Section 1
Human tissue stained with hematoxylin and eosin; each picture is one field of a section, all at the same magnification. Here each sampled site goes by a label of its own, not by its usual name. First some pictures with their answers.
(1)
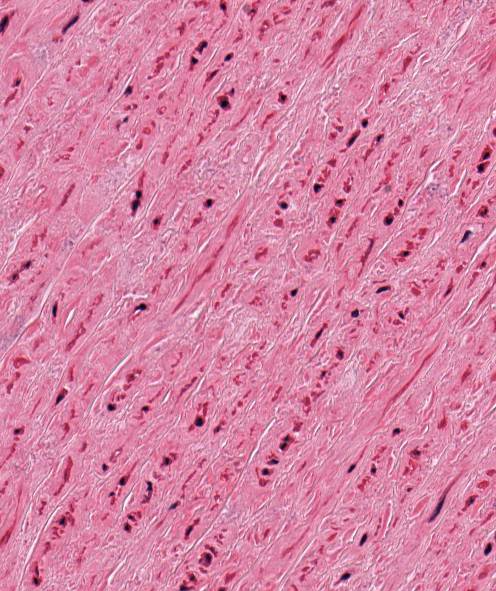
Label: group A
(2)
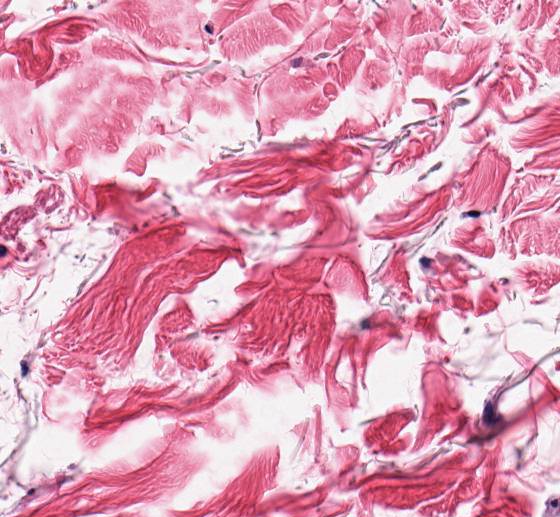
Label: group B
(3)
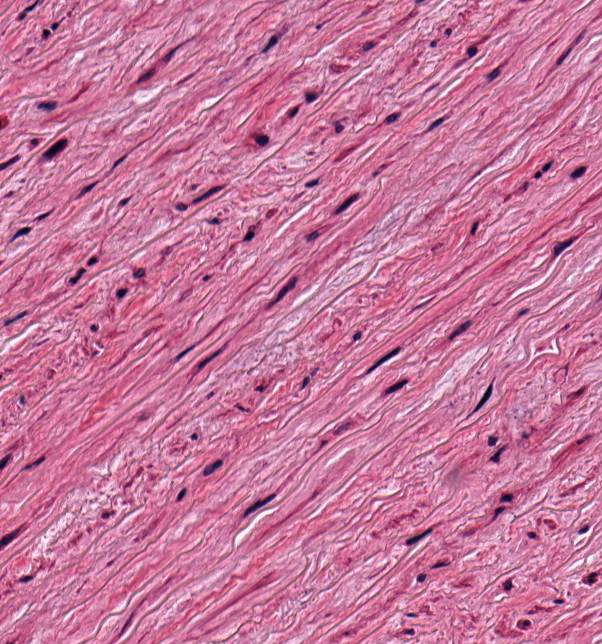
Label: group A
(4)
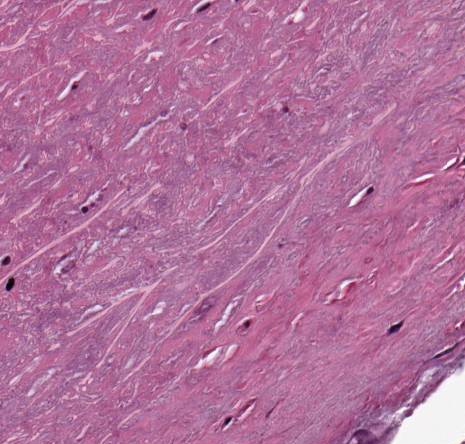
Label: group A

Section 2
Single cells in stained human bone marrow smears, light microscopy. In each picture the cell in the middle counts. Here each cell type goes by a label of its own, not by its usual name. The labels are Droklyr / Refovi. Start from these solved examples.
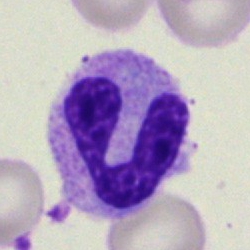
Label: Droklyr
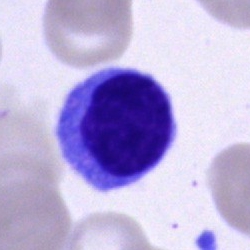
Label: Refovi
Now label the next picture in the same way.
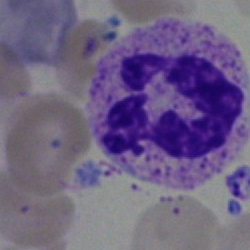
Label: Droklyr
